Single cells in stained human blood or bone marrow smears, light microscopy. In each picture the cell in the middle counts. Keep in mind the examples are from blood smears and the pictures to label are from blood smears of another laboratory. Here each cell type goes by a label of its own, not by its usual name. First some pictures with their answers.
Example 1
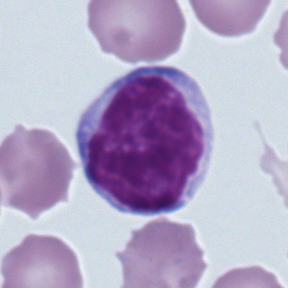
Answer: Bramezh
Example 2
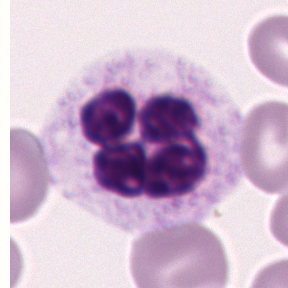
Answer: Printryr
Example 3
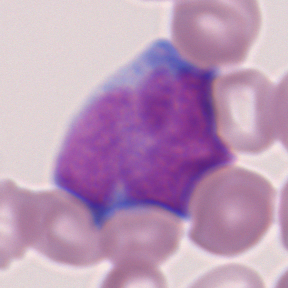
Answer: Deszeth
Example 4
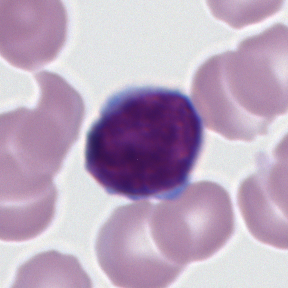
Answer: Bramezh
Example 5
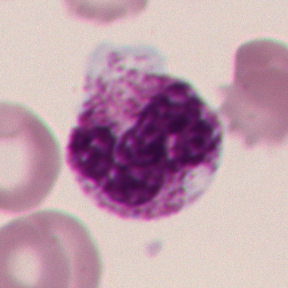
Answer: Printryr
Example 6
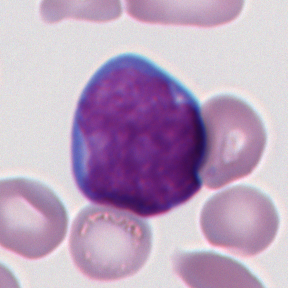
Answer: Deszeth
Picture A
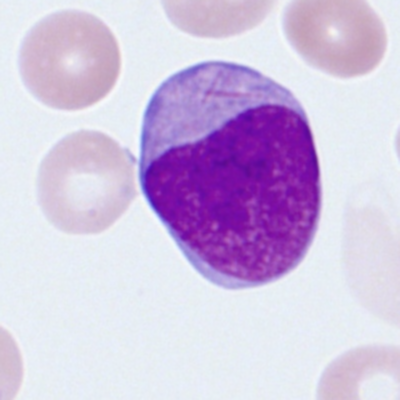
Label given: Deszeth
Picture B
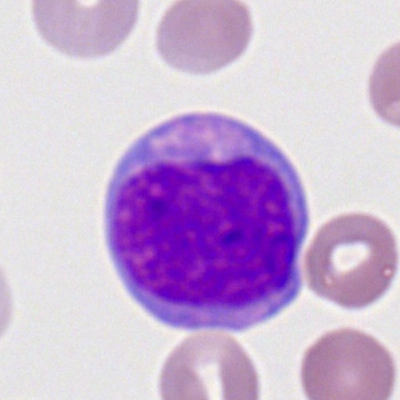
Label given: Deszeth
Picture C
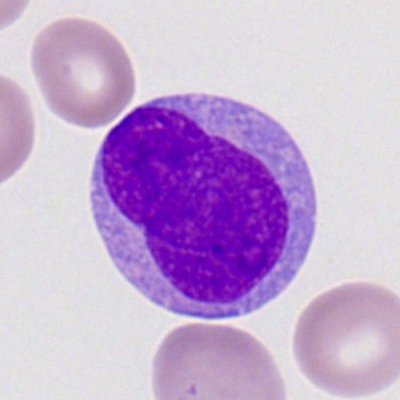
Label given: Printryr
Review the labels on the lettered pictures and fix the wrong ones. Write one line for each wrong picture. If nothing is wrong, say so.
C: not Printryr but Deszeth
